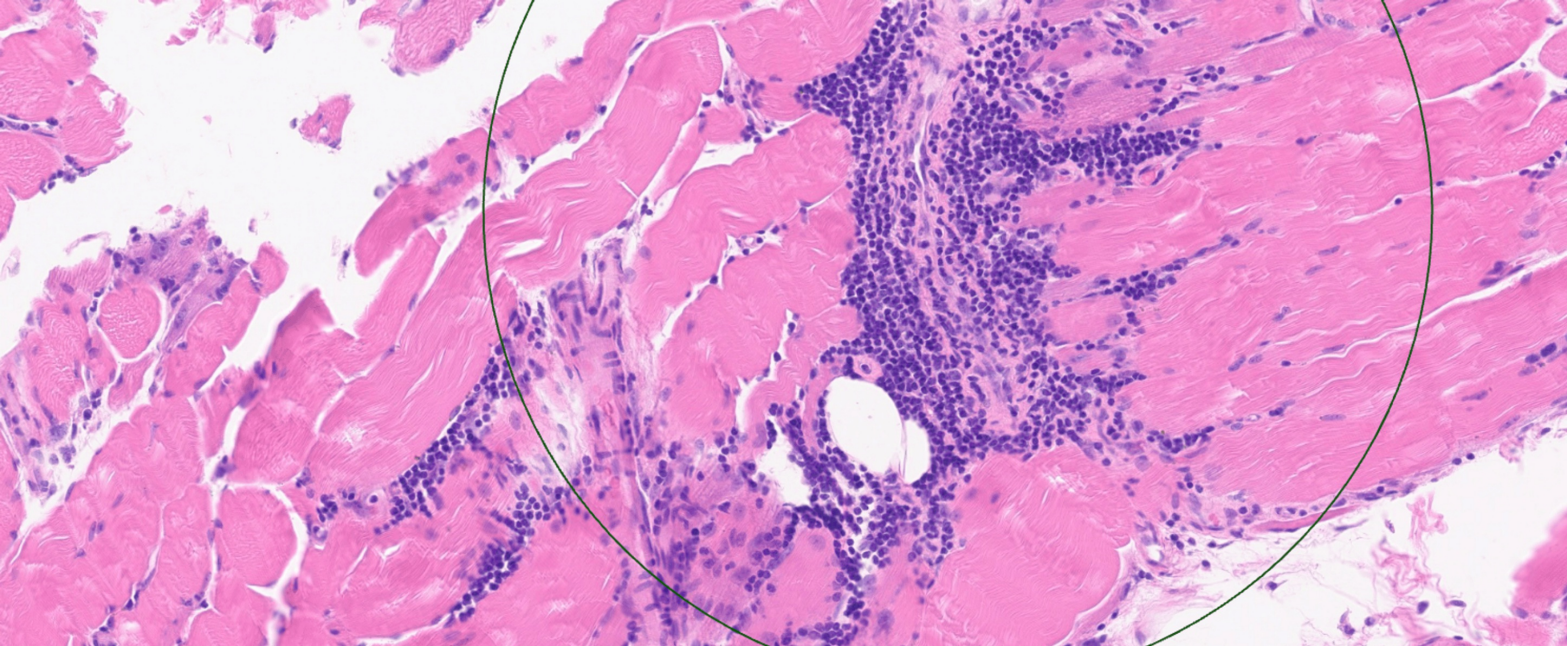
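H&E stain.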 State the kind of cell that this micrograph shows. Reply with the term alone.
lymphocytes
